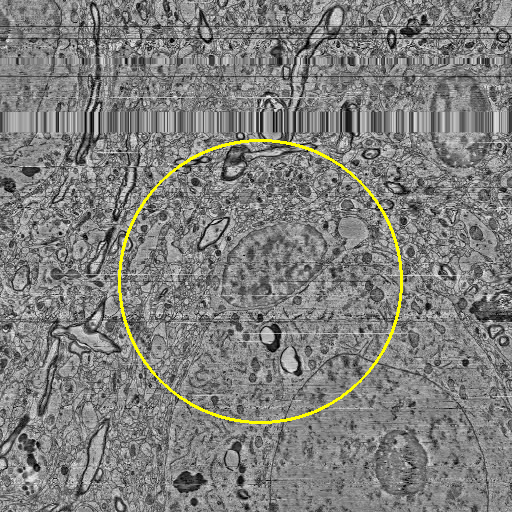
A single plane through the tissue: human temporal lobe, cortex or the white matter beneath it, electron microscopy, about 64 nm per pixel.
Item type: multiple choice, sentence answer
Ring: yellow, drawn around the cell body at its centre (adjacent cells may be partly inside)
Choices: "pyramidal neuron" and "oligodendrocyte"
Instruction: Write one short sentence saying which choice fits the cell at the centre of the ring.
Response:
This ring is drawn around an oligodendrocyte.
